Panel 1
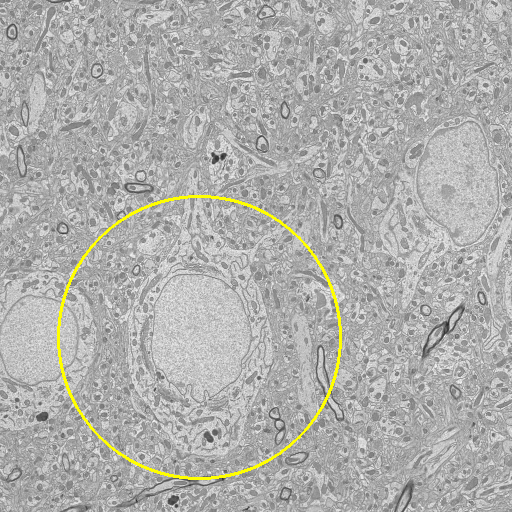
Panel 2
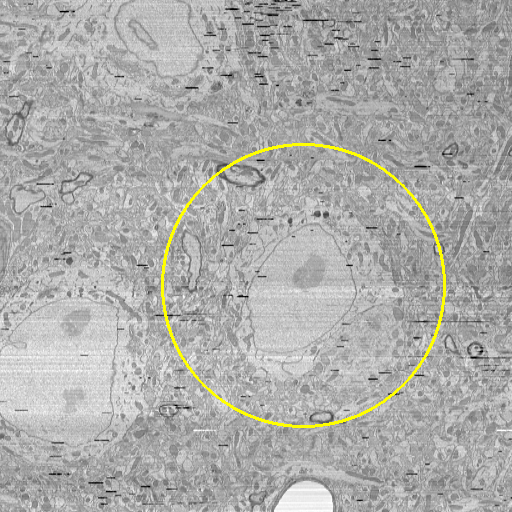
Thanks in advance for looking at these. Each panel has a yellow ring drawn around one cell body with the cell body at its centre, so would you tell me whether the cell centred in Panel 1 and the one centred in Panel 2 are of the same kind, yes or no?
no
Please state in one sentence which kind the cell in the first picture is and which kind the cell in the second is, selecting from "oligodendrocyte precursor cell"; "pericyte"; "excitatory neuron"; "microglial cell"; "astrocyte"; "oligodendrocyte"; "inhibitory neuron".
The first ringed cell is an inhibitory neuron, the second ringed cell an excitatory neuron.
